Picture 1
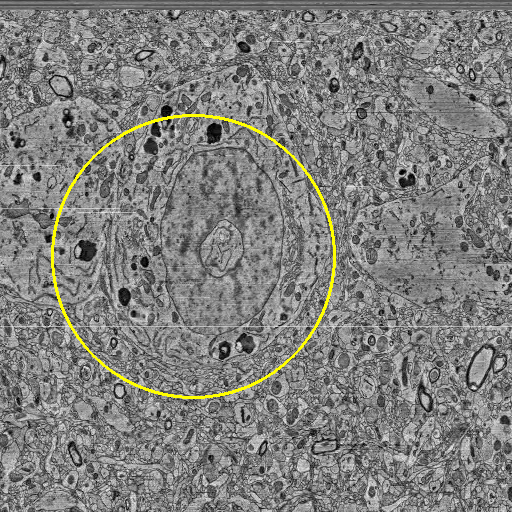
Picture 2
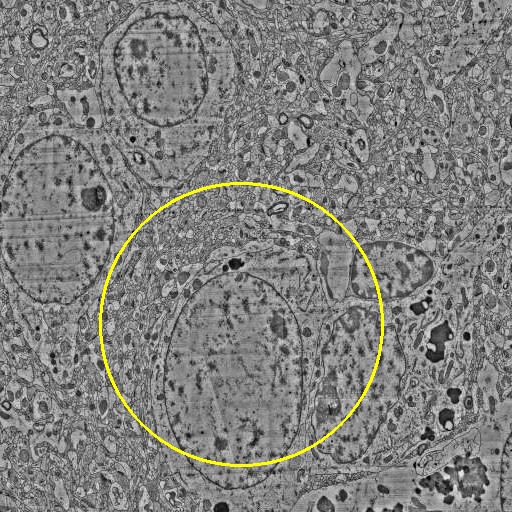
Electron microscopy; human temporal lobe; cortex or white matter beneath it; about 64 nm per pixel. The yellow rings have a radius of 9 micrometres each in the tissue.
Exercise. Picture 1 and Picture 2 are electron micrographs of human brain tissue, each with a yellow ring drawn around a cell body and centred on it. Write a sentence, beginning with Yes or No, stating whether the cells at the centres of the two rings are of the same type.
No, the cells at the centres of the rings are of two types.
